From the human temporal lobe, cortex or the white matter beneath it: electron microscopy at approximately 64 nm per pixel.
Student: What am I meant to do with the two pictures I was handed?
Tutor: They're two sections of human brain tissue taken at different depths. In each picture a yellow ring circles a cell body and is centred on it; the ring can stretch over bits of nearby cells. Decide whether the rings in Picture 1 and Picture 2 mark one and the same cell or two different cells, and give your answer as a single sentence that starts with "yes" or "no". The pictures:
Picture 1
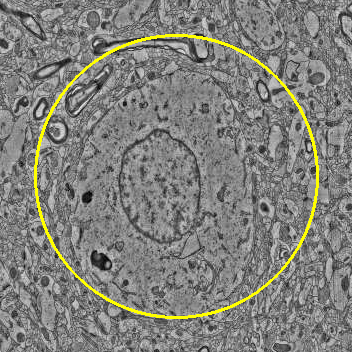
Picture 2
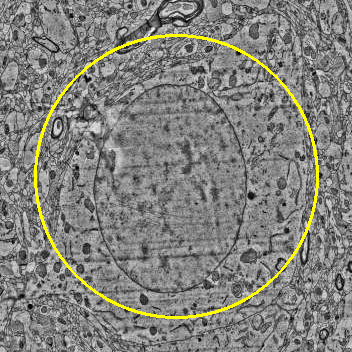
No, these two rings belong to two distinct cells.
